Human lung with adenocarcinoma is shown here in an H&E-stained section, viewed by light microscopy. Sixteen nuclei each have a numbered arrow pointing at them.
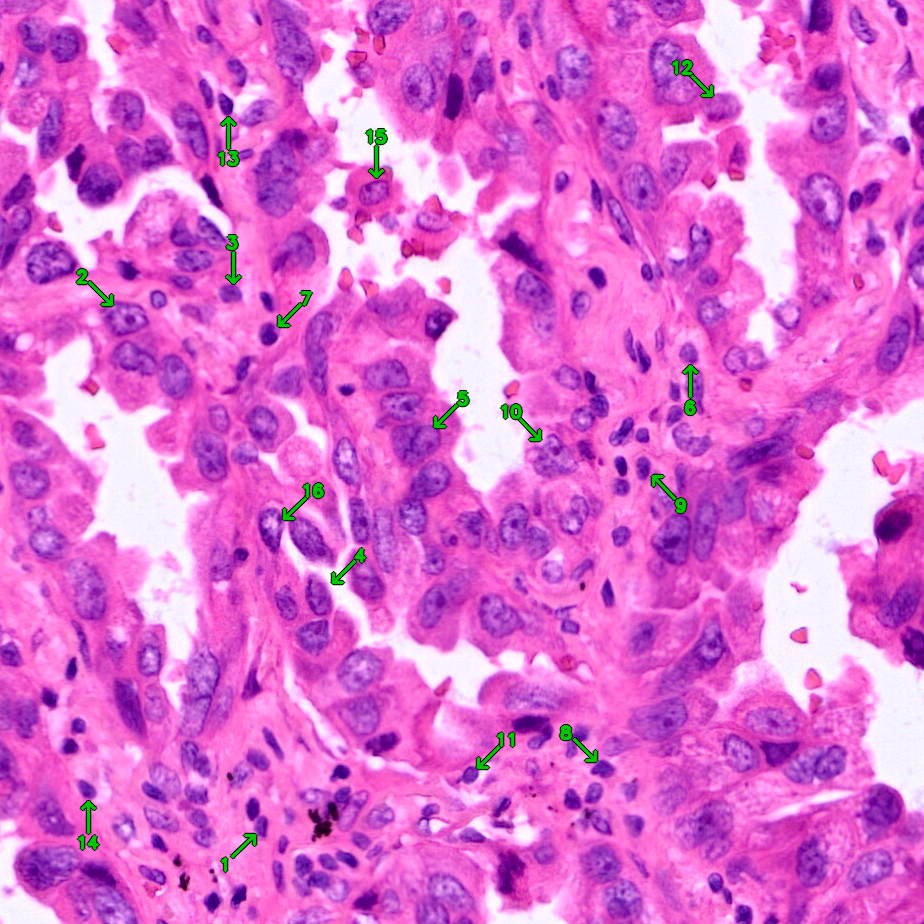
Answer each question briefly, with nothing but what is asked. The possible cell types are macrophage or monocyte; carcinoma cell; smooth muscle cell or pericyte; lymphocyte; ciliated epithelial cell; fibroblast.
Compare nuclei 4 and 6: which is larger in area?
4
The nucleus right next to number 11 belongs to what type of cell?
fibroblast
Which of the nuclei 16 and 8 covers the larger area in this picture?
16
